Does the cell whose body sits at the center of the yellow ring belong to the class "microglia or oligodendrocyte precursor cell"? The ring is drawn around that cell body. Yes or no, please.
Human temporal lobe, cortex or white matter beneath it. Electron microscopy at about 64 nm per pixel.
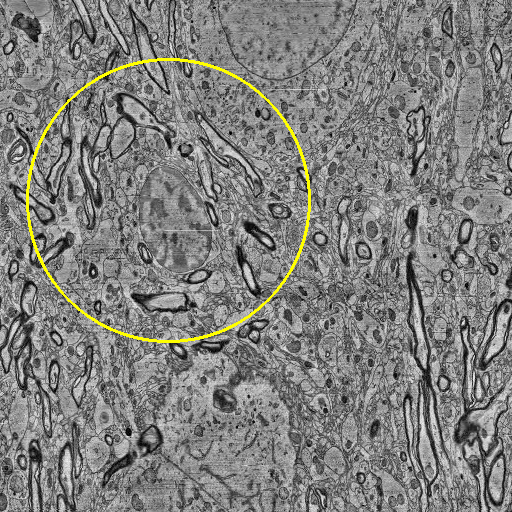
Yes, it belongs to that class.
